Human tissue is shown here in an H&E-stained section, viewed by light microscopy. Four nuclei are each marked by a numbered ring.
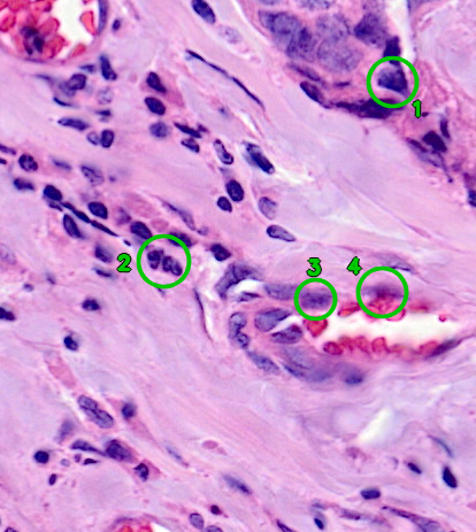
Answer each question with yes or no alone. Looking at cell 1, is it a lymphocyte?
no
